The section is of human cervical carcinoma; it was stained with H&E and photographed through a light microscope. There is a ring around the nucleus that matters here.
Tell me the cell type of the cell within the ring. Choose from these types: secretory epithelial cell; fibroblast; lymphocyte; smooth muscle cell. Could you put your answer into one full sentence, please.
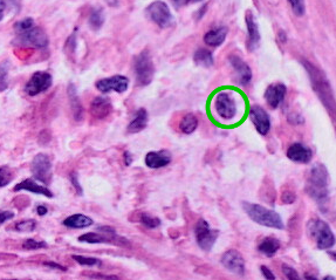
For cell typing purposes, the cell within the ring is a lymphocyte.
